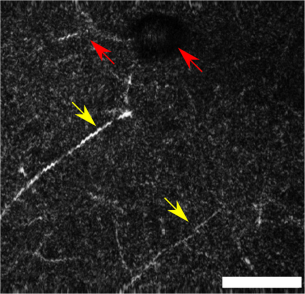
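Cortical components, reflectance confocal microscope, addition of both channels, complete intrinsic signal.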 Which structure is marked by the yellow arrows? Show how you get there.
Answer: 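The yellow arrows point to thin, bright, highly reflective lines running for long distances across the field. The lines are straight or gently curving, of even narrow width, and some branch or cross.
Hence: myelinated axons.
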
